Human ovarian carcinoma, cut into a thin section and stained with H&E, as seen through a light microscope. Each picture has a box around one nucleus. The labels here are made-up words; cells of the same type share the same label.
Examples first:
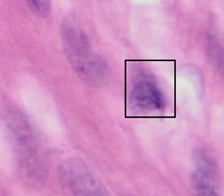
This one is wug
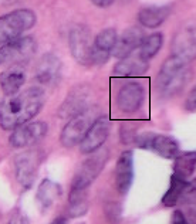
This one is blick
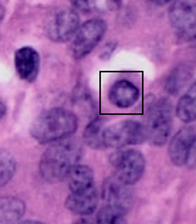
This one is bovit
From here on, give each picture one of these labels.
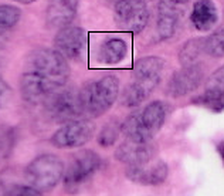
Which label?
bovit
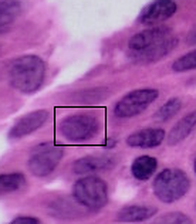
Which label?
blick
